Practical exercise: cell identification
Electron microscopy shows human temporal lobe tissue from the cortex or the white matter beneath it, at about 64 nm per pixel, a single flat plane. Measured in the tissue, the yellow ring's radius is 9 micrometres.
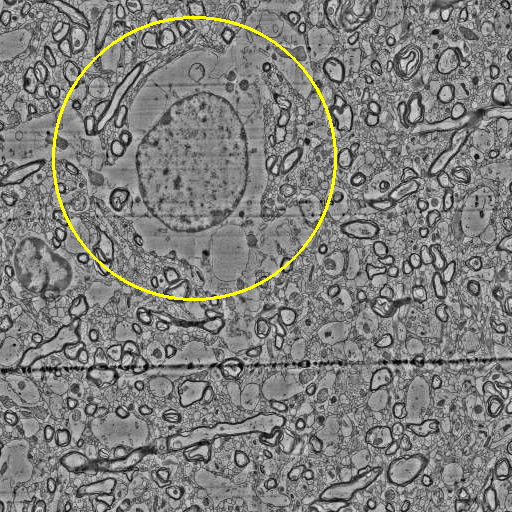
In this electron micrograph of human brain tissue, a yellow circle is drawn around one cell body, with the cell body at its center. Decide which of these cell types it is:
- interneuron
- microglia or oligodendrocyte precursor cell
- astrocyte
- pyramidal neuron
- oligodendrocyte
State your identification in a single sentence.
The ringed cell is an astrocyte.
